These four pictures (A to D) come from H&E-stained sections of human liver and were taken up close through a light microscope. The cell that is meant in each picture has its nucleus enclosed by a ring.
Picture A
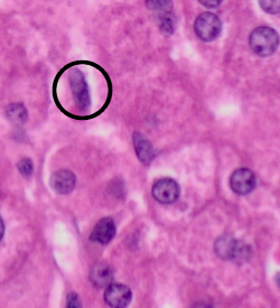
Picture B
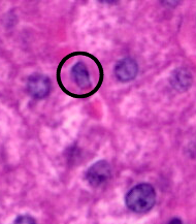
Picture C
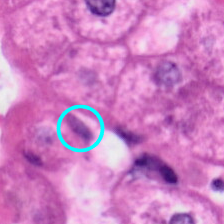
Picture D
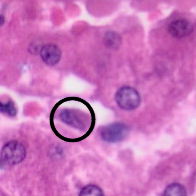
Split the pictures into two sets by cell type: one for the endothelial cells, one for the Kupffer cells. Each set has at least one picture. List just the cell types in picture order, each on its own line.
Kupffer cell
endothelial cell
Kupffer cell
Kupffer cell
